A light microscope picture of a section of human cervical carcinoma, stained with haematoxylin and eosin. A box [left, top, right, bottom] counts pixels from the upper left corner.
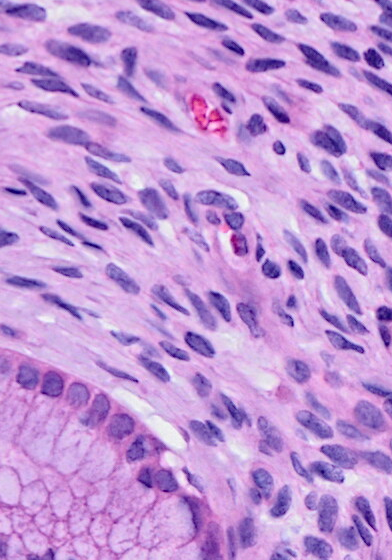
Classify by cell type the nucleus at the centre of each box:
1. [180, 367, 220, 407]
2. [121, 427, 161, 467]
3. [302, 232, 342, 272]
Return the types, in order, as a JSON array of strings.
["fibroblast", "secretory epithelial cell", "fibroblast"]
